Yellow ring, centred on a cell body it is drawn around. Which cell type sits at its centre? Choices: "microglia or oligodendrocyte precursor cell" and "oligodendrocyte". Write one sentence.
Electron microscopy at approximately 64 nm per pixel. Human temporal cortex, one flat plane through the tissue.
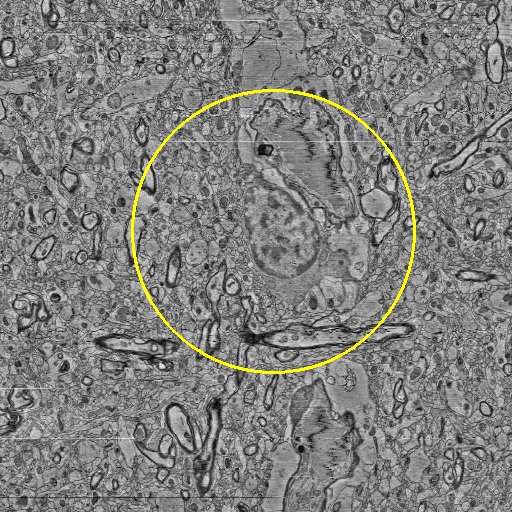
At the centre of the ring sits an oligodendrocyte.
